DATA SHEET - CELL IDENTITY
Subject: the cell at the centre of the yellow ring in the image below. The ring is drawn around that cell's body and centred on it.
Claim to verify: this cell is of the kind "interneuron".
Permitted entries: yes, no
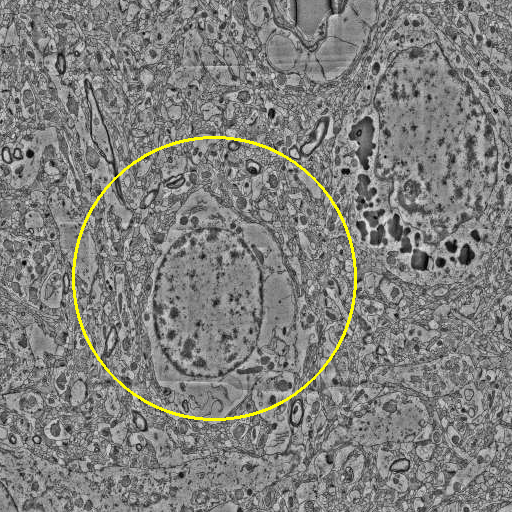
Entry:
no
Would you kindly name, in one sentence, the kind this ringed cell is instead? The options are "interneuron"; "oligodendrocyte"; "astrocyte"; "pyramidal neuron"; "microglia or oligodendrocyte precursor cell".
The cell that the ring is centred on is an astrocyte.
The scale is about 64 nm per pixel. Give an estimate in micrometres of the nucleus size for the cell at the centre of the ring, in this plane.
In this plane the nucleus is about 10 micrometres by 7.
